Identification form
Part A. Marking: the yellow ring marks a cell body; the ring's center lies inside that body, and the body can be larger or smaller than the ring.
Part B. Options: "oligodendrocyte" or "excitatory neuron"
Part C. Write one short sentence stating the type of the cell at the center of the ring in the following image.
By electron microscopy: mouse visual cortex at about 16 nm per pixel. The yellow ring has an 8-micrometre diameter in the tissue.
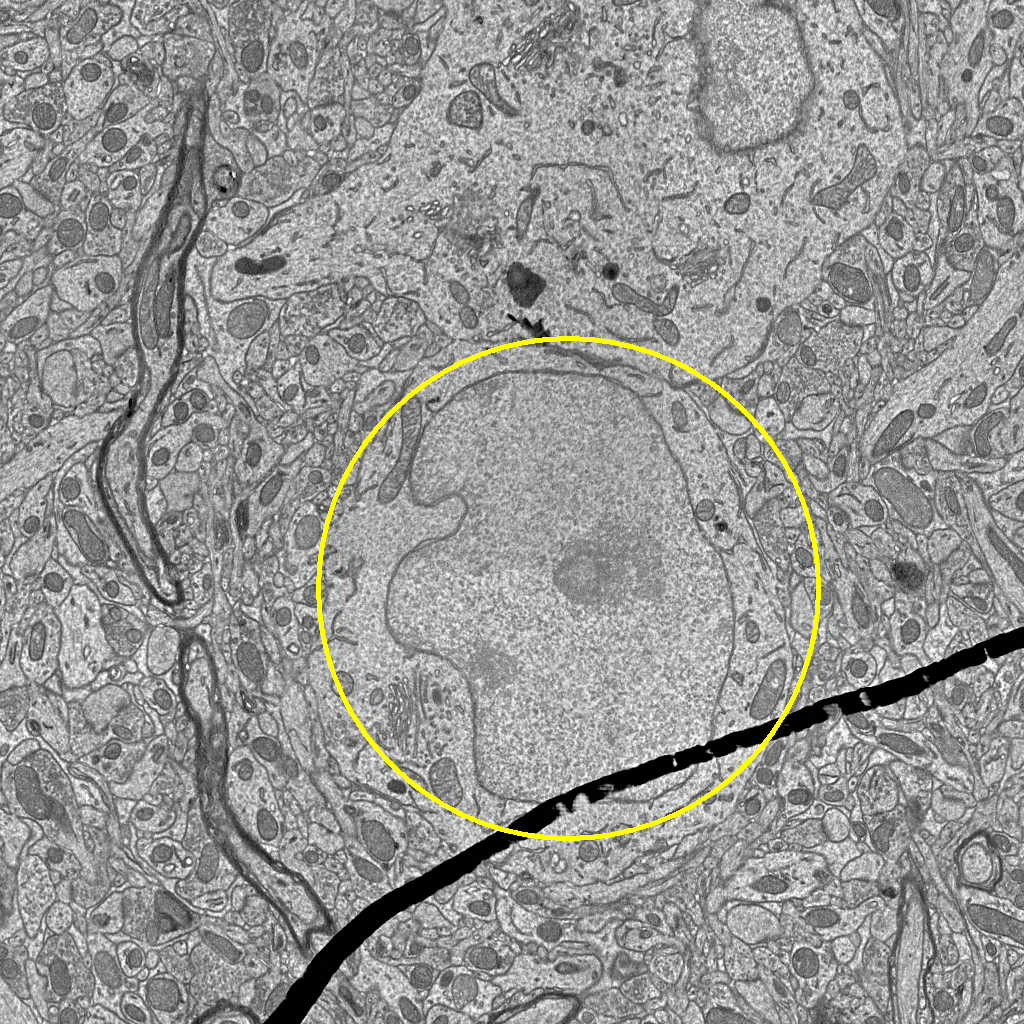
The center of the ring holds an excitatory neuron.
